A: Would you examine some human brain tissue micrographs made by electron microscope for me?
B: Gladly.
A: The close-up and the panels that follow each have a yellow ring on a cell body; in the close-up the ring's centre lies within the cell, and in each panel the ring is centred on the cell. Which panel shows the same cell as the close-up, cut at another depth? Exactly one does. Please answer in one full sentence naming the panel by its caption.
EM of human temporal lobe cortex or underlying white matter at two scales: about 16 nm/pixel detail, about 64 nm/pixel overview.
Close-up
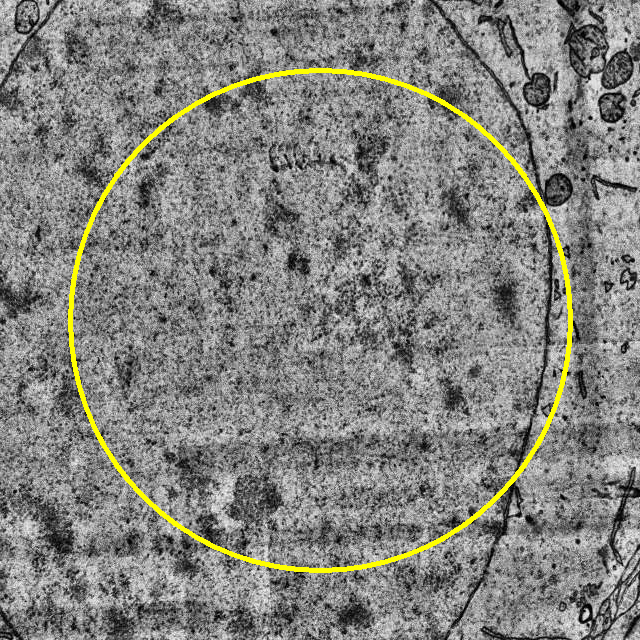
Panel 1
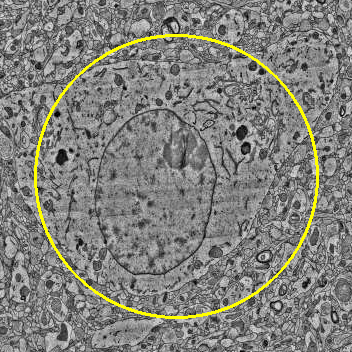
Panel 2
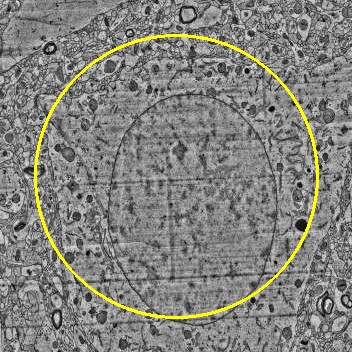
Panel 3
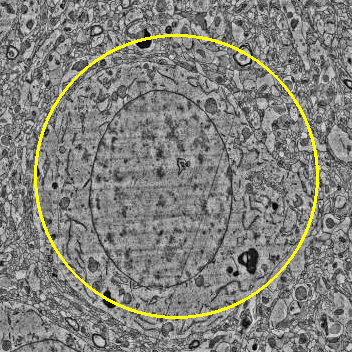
The cell seen up close is the one ringed within Panel 1.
